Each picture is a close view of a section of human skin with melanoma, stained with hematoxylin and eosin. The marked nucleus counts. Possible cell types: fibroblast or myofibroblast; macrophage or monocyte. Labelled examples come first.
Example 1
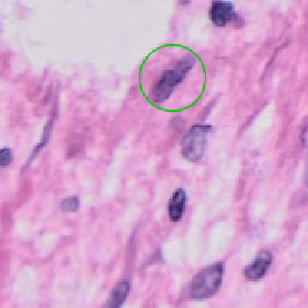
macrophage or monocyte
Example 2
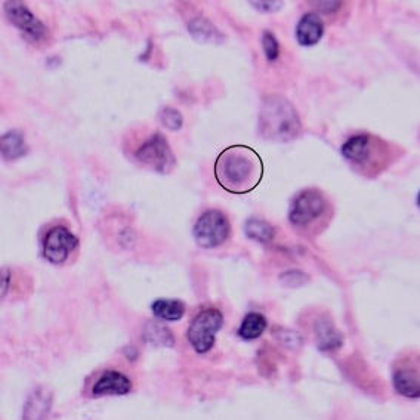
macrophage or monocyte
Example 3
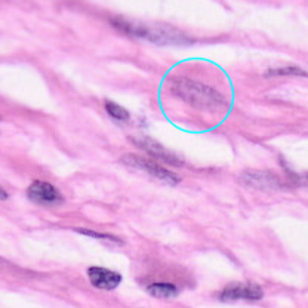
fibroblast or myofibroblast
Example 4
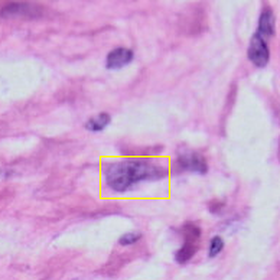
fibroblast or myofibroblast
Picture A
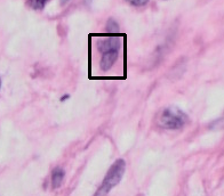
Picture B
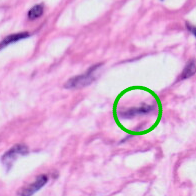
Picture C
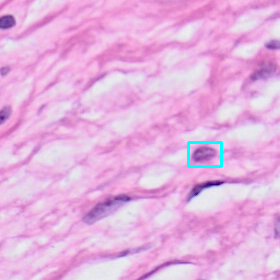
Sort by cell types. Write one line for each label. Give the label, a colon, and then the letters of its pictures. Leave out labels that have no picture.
fibroblast or myofibroblast: B
macrophage or monocyte: A, C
